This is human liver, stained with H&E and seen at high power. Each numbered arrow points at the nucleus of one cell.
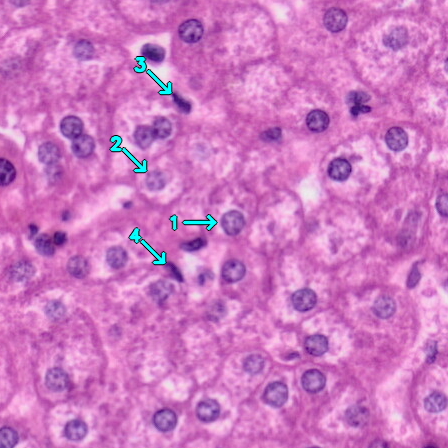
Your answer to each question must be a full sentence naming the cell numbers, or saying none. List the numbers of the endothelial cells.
Cell 3 is an endothelial cell, while all remaining marked cells are of other types.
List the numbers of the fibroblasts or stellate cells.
Cell 4 is a fibroblast or stellate cell; the remaining numbered cells are not.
